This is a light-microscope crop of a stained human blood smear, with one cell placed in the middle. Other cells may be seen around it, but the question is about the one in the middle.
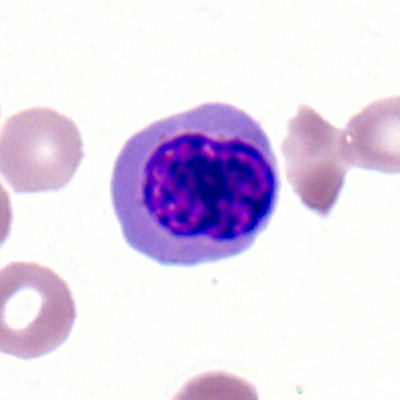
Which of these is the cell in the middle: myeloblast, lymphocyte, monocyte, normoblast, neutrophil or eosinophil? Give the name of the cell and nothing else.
normoblast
